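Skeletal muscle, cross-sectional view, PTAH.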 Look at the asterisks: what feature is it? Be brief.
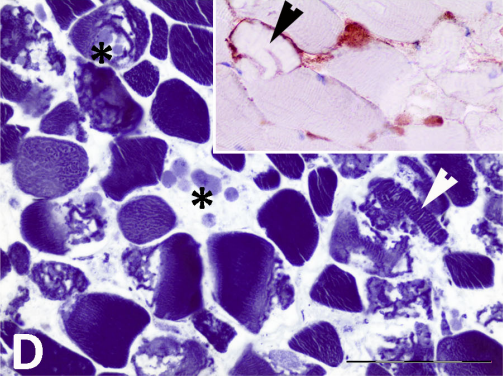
globes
